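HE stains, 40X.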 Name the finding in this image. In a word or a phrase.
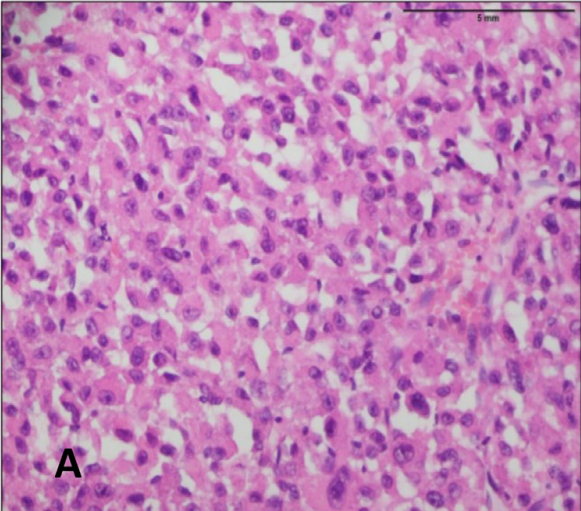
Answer: Moderate nuclear atypia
